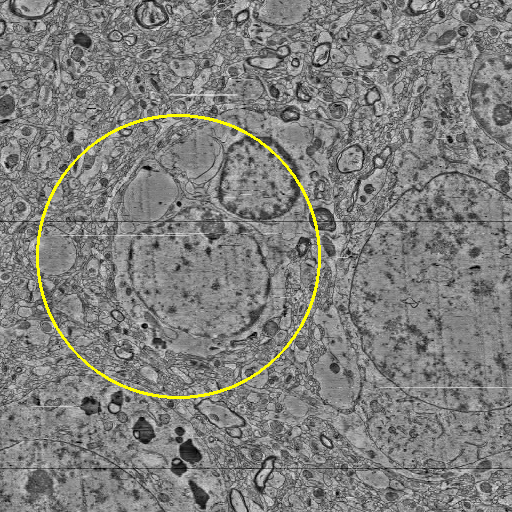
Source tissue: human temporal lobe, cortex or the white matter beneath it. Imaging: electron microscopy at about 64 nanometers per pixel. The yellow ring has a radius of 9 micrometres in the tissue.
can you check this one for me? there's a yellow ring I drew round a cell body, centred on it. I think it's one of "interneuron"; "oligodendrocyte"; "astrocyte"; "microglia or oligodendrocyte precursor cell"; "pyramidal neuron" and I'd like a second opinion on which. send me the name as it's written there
astrocyte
